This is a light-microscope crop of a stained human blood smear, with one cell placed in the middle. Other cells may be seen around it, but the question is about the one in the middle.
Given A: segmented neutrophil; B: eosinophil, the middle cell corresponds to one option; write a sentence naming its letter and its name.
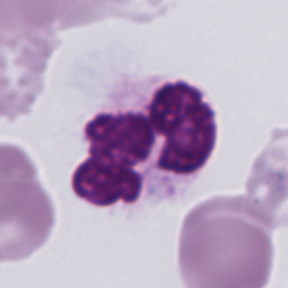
Option A is right in identifying the central cell as a segmented neutrophil.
